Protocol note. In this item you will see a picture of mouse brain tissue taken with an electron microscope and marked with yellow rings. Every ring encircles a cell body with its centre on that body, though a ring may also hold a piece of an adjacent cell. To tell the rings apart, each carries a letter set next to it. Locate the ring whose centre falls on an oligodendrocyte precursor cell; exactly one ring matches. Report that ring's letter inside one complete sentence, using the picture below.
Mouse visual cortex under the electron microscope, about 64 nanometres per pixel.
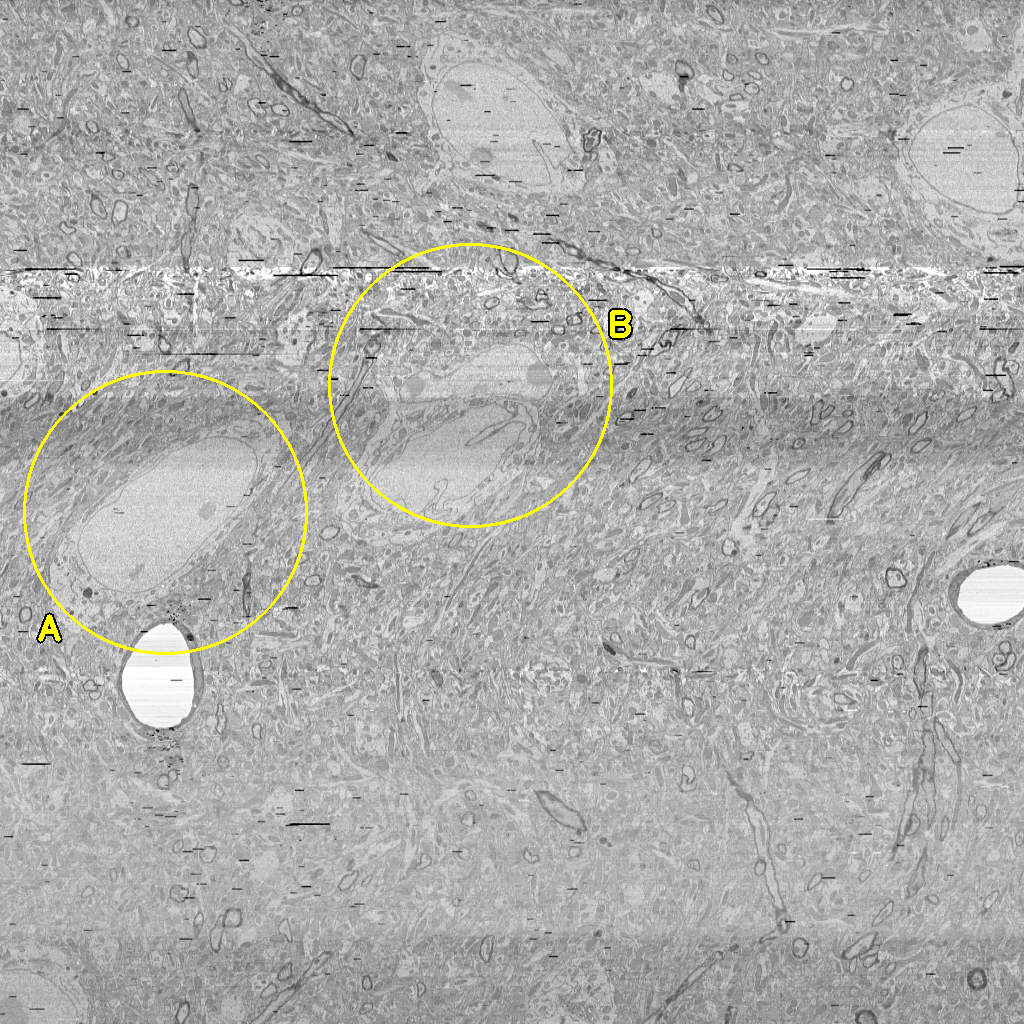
My answer is B, the ring whose centre falls on that kind of cell.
